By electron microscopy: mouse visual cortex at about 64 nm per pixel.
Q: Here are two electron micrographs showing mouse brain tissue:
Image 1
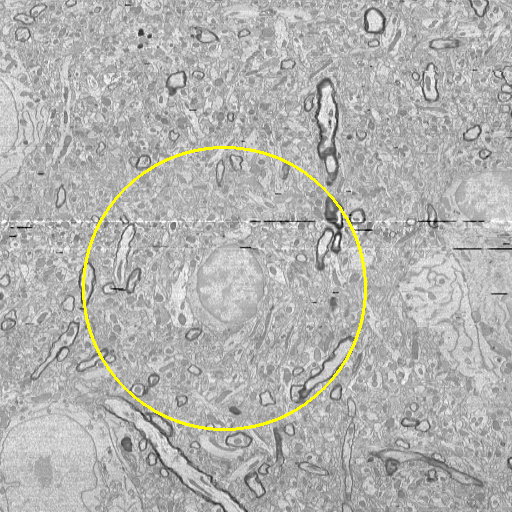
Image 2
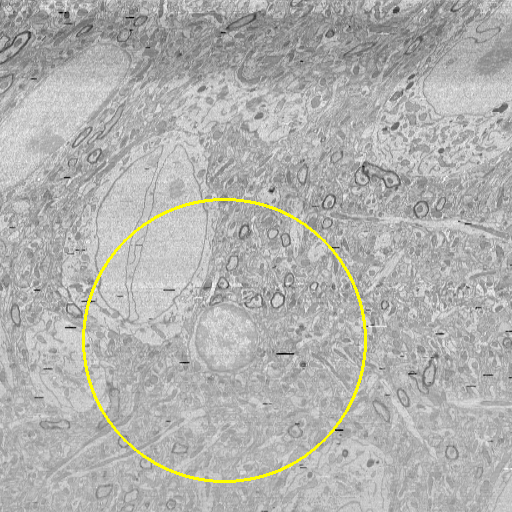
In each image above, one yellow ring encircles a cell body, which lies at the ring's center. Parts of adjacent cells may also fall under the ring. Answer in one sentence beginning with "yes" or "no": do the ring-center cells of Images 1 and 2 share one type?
Yes, in Images 1 and 2, the ring-center cells are both of one type.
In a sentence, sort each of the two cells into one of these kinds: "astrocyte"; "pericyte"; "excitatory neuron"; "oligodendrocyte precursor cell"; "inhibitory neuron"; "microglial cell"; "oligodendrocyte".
Each of the two rings is centred on an oligodendrocyte.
